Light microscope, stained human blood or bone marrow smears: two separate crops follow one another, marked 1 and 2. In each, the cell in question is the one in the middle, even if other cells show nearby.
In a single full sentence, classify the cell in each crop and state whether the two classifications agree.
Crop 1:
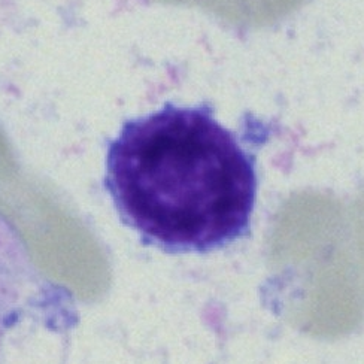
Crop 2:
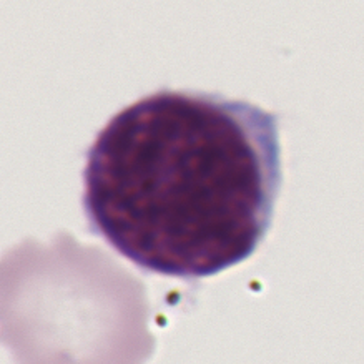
Yes, the central cells in both of the crops are lymphocytes.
